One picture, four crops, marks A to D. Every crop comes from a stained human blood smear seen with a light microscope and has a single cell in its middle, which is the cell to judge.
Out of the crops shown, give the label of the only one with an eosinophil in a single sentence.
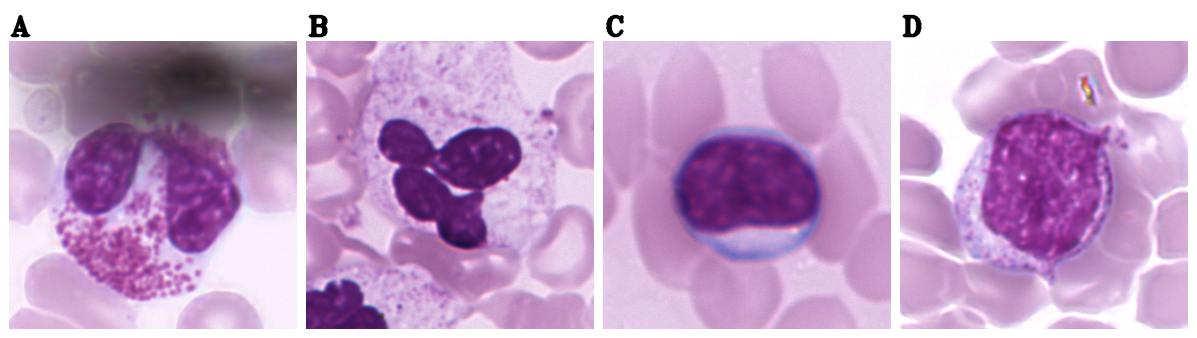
Crop A, and no other, is the one that shows an eosinophil.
